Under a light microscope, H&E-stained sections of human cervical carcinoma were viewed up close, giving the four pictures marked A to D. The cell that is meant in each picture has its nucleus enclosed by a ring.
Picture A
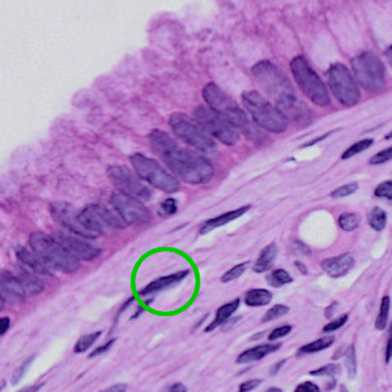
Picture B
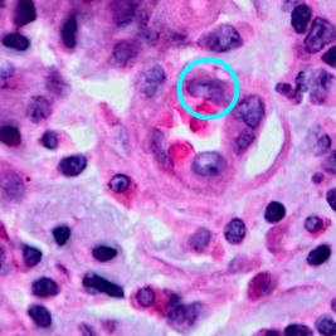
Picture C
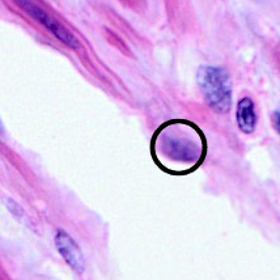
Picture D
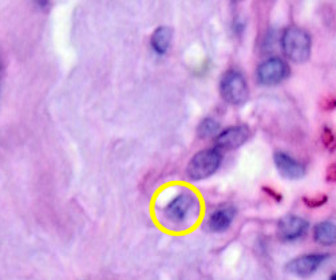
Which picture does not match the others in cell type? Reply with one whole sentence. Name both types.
The different one is picture A; it shows a fibroblast, whereas all the others show endothelial cells.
